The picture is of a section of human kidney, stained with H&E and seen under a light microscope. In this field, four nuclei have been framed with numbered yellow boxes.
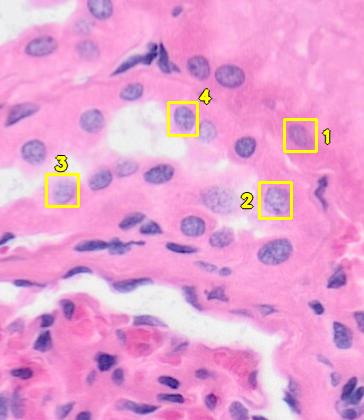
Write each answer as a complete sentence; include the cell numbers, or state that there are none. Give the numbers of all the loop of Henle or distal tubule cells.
In this section, the cells numbered 2, 3 and 4 are loop of Henle or distal tubule cells.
